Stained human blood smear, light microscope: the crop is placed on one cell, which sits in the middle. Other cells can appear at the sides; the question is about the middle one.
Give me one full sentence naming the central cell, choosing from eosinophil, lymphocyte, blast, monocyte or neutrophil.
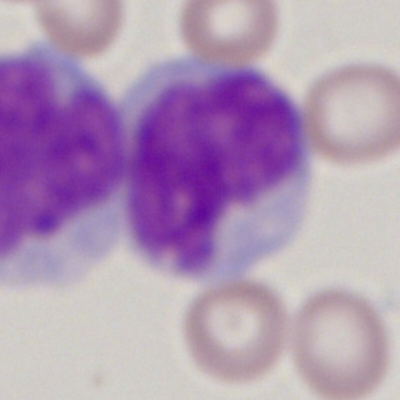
In the middle of this smear crop is a monocyte.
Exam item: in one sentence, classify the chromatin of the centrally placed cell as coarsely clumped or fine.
Check the chromatin: it is fine and not coarsely clumped.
